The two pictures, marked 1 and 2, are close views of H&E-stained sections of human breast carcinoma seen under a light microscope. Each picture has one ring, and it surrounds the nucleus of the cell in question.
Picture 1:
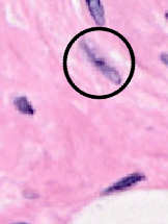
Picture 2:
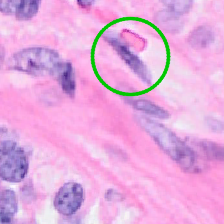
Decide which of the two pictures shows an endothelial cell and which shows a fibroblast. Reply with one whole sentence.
Picture 2 shows an endothelial cell, while picture 1 shows a fibroblast.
